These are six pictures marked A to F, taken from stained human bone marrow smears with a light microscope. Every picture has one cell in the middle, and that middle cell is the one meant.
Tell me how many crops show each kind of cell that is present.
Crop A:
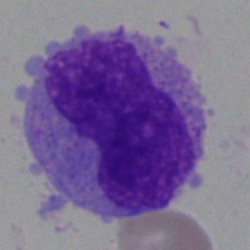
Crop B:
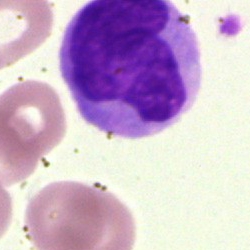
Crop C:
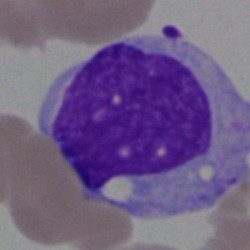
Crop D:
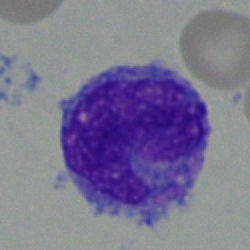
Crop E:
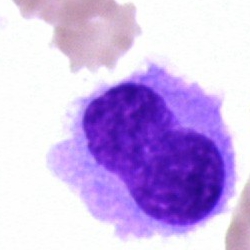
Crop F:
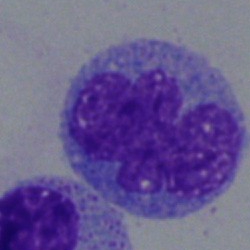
monocyte: 5
hairy cell: 1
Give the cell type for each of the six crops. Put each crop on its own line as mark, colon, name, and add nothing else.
A: monocyte
B: monocyte
C: monocyte
D: monocyte
E: hairy cell
F: monocyte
